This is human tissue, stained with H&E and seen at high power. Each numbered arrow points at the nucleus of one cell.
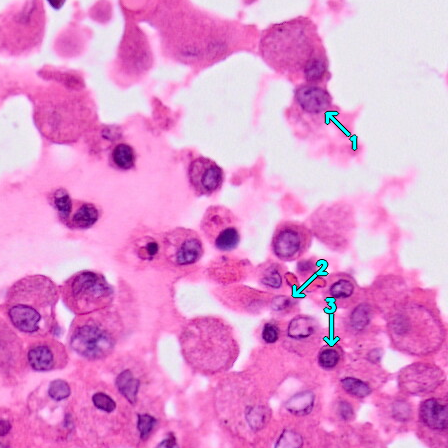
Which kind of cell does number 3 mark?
plasma cell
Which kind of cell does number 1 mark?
macrophage or monocyte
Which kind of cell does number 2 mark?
macrophage or monocyte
